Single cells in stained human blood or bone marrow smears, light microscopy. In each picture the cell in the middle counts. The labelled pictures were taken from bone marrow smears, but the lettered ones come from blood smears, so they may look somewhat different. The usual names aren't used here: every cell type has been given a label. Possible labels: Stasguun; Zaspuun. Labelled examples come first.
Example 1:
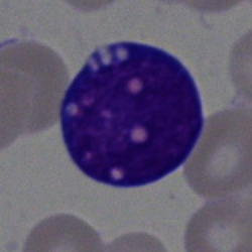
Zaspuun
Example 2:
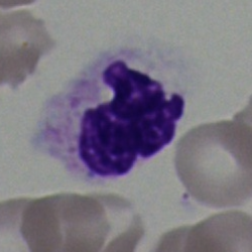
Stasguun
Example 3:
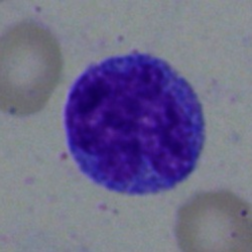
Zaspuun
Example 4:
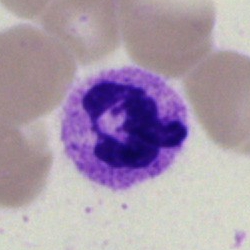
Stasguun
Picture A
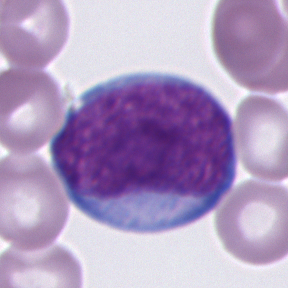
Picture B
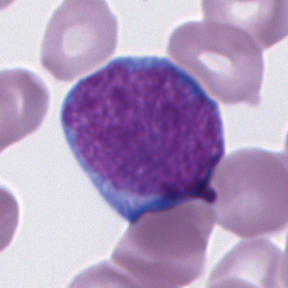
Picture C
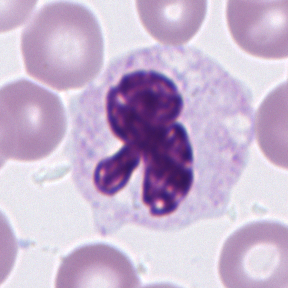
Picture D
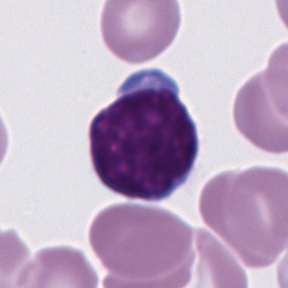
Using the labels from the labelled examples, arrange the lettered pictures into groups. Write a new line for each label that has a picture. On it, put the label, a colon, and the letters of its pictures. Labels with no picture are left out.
Stasguun: C
Zaspuun: A, B, D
